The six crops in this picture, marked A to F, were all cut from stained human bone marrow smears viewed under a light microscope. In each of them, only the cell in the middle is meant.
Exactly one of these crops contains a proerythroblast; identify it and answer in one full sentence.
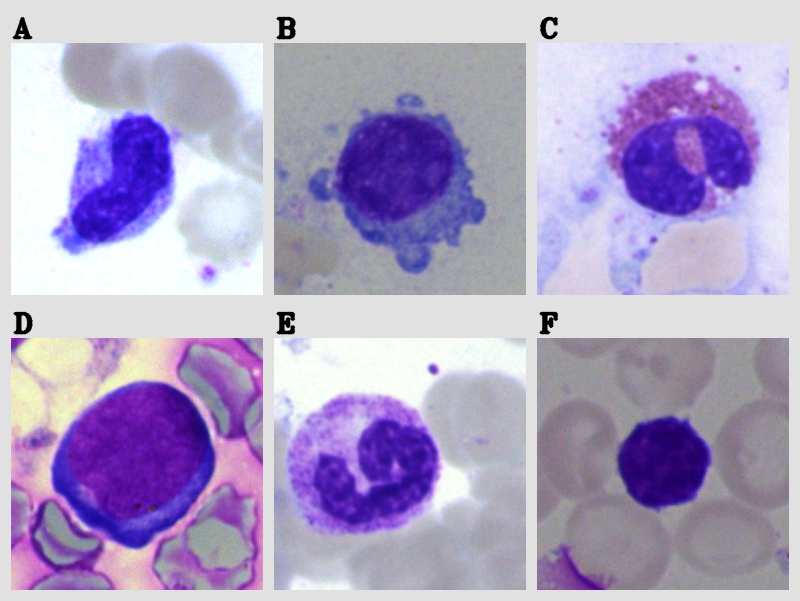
Among these crops, crop D holds a proerythroblast.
